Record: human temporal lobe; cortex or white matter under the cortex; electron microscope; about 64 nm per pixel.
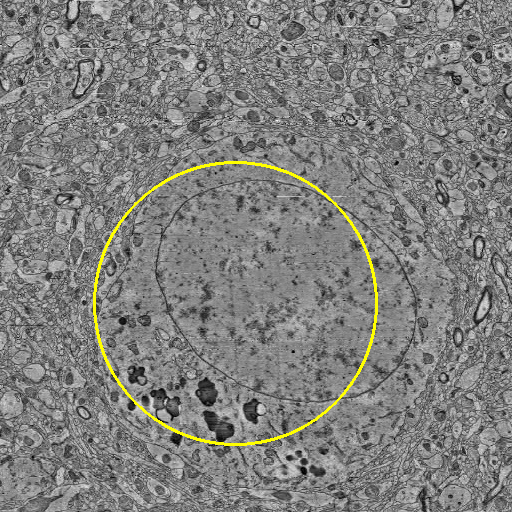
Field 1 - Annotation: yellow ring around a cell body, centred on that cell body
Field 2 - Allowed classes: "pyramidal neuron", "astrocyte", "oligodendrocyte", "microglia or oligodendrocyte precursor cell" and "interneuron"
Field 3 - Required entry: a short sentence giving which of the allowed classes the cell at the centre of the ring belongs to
The centred cell is a pyramidal neuron.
